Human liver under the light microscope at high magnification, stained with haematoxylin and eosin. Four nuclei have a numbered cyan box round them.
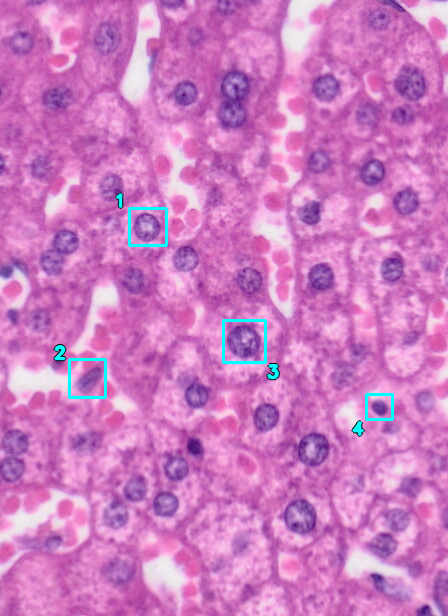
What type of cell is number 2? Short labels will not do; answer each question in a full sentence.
Classified as a Kupffer cell is the cell with the number 2.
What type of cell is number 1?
The cell whose nucleus carries the number 1 is a hepatocyte.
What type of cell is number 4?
The expected answer is that cell 4 is a lymphocyte.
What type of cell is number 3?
The expected answer is that cell 3 is a hepatocyte.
